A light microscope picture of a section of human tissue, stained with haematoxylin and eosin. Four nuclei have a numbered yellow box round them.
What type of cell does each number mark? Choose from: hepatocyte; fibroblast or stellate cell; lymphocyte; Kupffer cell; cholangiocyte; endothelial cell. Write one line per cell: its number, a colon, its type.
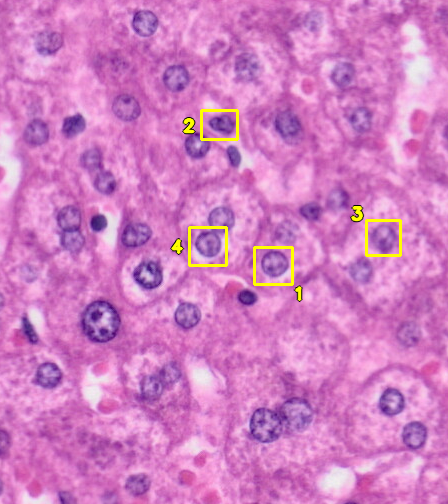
1: hepatocyte
2: Kupffer cell
3: hepatocyte
4: hepatocyte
